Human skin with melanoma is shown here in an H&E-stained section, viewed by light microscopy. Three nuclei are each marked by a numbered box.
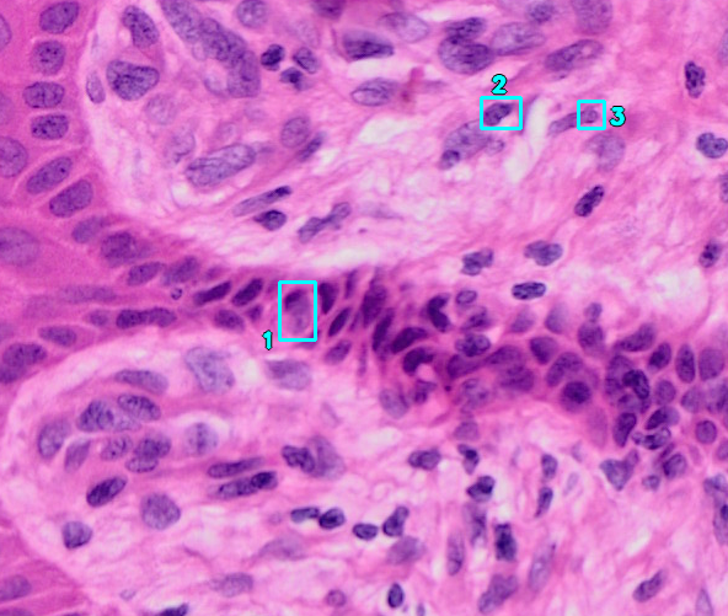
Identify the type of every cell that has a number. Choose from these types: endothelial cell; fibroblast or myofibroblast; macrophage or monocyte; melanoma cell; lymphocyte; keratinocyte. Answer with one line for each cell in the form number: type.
1: keratinocyte
2: lymphocyte
3: macrophage or monocyte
